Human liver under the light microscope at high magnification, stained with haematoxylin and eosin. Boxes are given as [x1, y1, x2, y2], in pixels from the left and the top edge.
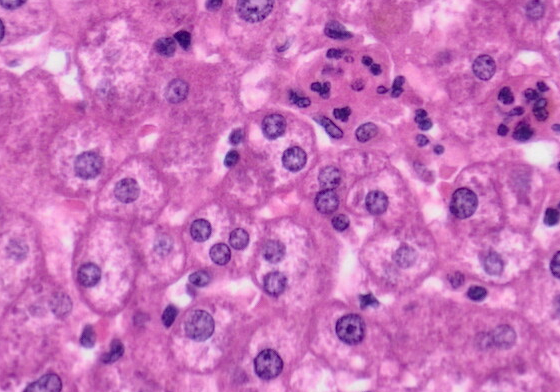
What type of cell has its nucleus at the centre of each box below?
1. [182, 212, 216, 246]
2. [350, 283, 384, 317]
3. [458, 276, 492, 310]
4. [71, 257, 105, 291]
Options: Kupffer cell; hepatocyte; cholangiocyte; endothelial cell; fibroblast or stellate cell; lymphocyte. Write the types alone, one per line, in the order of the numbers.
hepatocyte
endothelial cell
lymphocyte
hepatocyte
